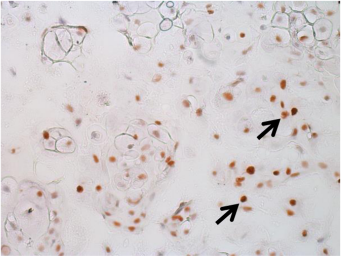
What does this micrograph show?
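Rounded chondrocytes are scattered singly and in small groups through a pale, almost structureless matrix, some lying inside clear round spaces outlined by thin rims. Most of their nuclei are small, round and dense brown, while the cytoplasm stays pale. The brown is confined to the nuclei, marking many chondrocytes as positive across the field.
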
